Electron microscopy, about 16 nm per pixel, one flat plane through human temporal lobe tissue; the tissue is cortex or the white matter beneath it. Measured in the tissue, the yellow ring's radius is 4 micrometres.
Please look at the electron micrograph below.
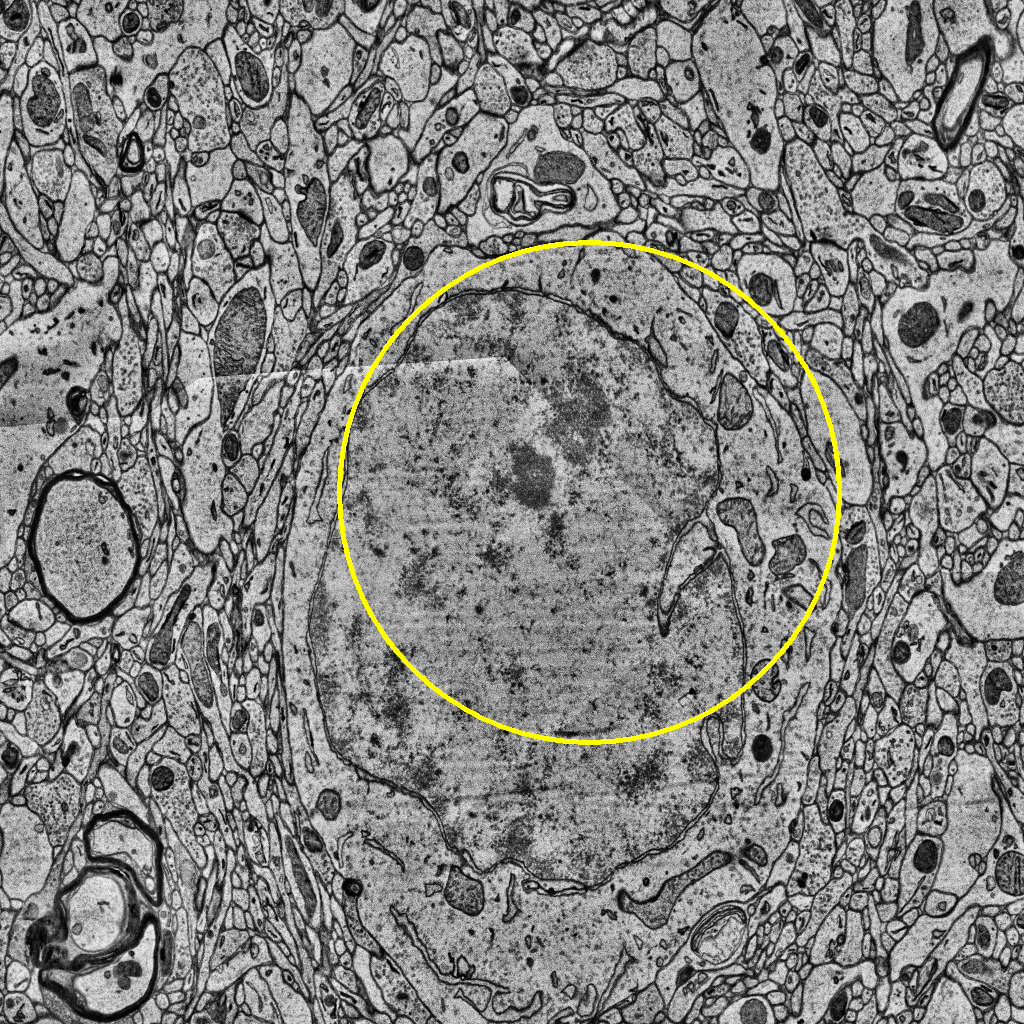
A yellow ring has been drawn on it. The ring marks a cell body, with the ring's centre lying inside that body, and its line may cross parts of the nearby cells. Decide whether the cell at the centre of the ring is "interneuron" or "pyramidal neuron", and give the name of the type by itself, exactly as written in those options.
interneuron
